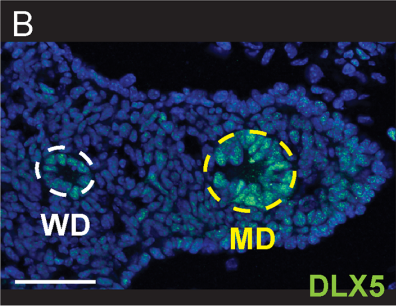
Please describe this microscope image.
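A cross section of the mesonephros shows a small Wolffian duct and a larger Müllerian duct set in mesenchyme with blue nuclei. The Müllerian duct epithelium forms a ring of columnar cells around a star-shaped central lumen, and its nuclei are green, while the surrounding mesenchyme is mostly blue.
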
